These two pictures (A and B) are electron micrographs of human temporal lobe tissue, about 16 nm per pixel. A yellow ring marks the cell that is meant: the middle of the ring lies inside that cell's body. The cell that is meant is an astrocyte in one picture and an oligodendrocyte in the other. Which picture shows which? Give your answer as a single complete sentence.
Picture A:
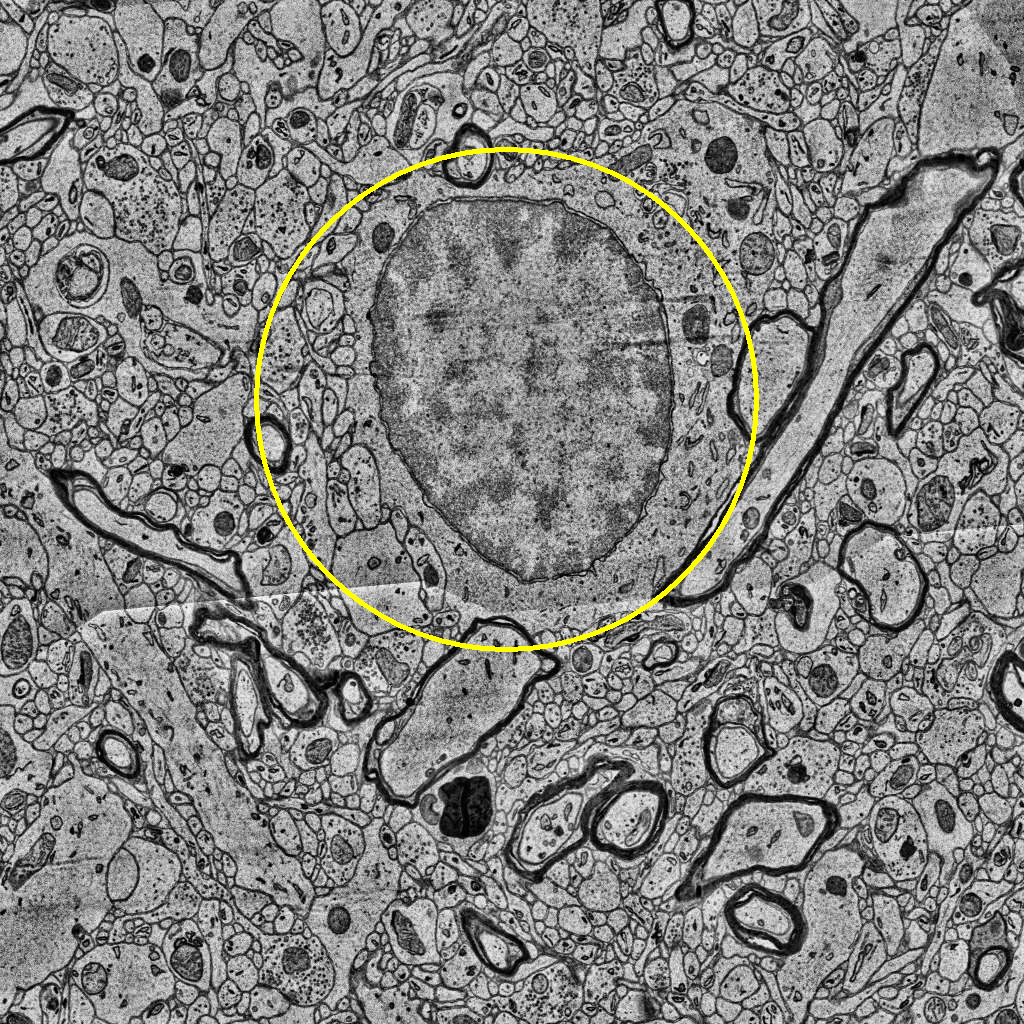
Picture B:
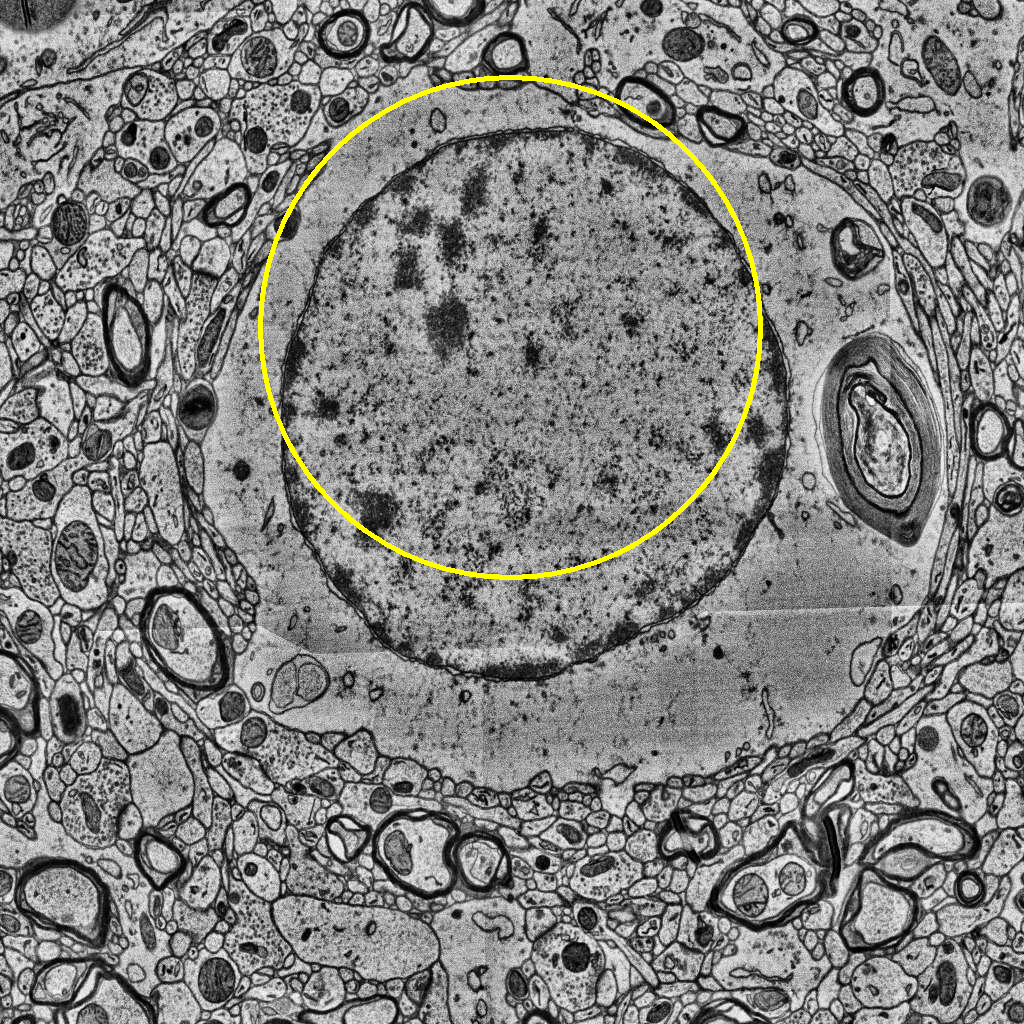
Picture B shows an astrocyte, while picture A shows an oligodendrocyte.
